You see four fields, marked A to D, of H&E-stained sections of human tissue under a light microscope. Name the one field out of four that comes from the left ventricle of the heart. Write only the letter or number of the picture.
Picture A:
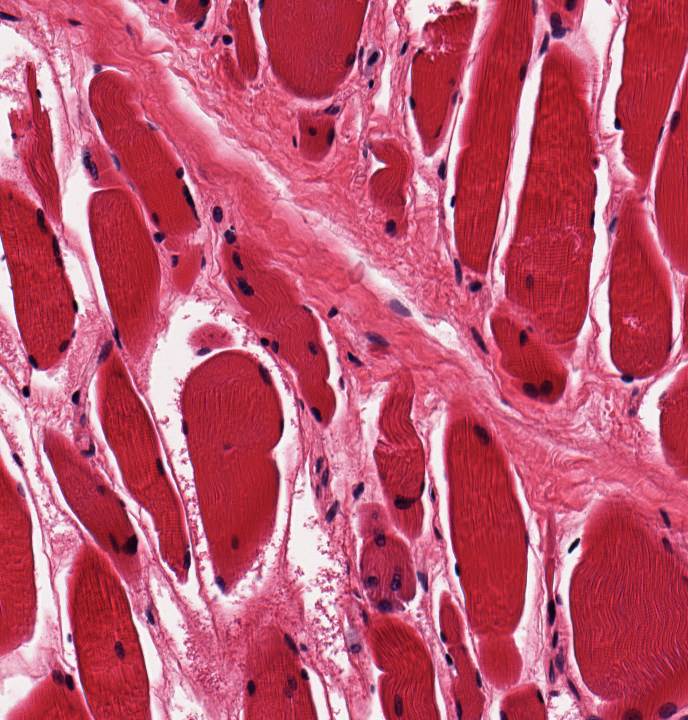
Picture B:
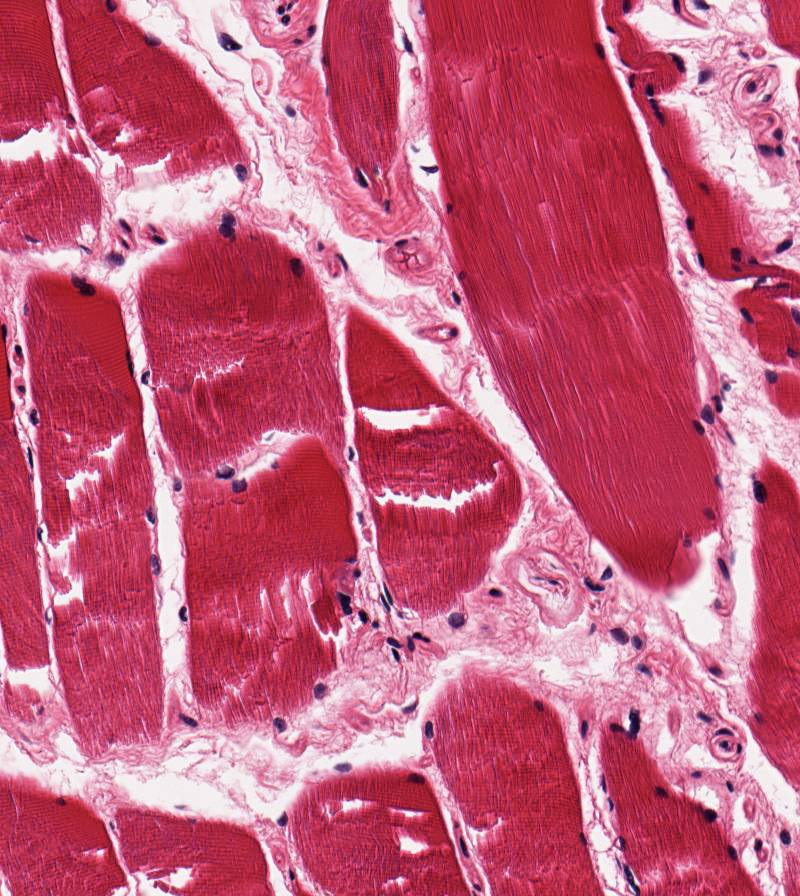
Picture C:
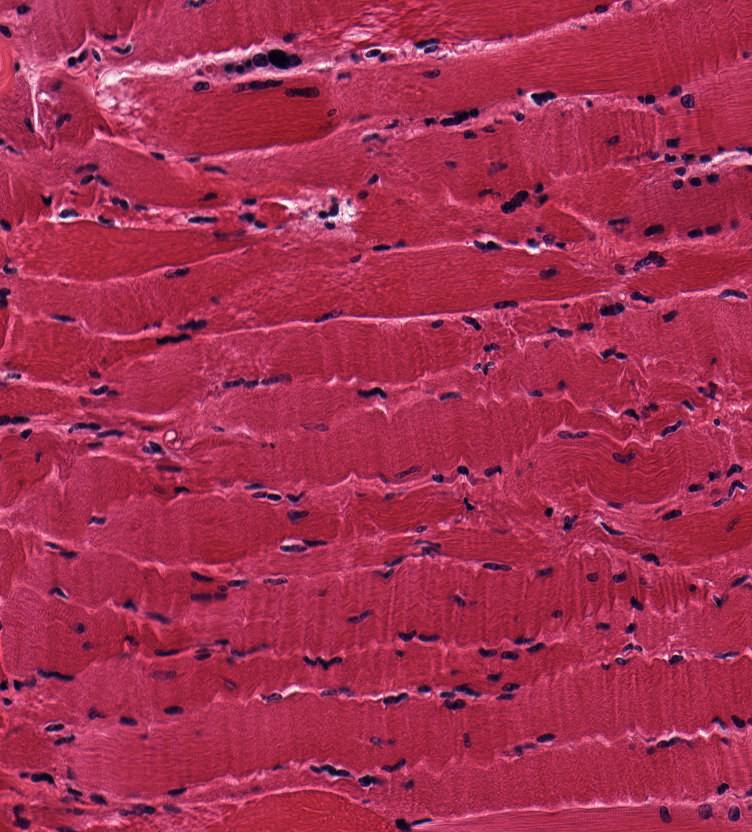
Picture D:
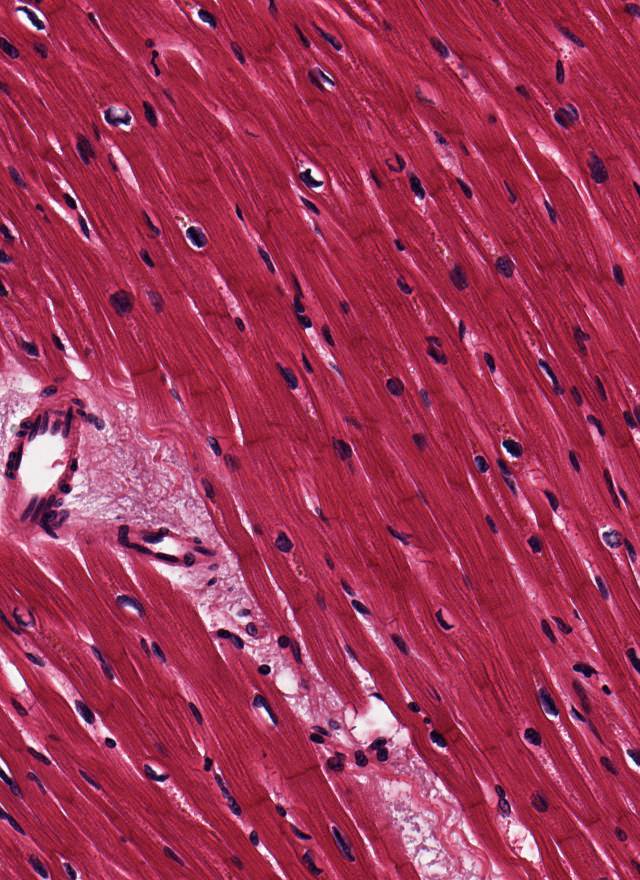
D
